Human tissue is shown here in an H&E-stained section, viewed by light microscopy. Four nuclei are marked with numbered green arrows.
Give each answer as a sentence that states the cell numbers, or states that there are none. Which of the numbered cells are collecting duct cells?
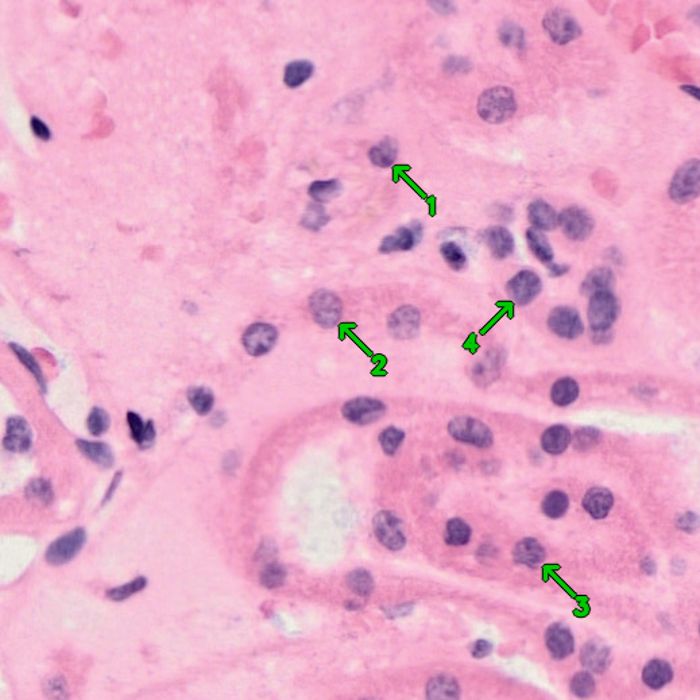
Of the numbered nuclei, only the one labelled 4 belongs to a collecting duct cell.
